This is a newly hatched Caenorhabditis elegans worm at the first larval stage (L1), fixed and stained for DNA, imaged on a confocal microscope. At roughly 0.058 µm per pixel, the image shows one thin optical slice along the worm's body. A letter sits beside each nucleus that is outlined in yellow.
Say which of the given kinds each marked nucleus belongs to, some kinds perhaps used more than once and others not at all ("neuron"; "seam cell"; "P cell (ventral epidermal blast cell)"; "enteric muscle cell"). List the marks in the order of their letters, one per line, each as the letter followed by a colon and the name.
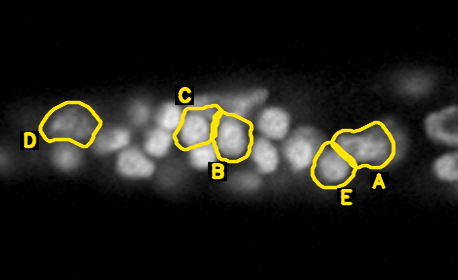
A: enteric muscle cell
B: neuron
C: neuron
D: seam cell
E: neuron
